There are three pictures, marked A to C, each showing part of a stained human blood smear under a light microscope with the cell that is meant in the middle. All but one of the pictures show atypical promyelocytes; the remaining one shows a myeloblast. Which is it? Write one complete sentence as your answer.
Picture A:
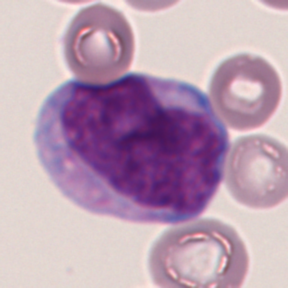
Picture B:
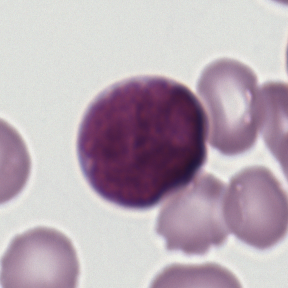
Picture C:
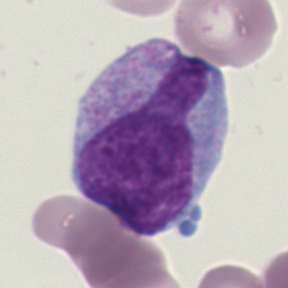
The picture with the myeloblast is B.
